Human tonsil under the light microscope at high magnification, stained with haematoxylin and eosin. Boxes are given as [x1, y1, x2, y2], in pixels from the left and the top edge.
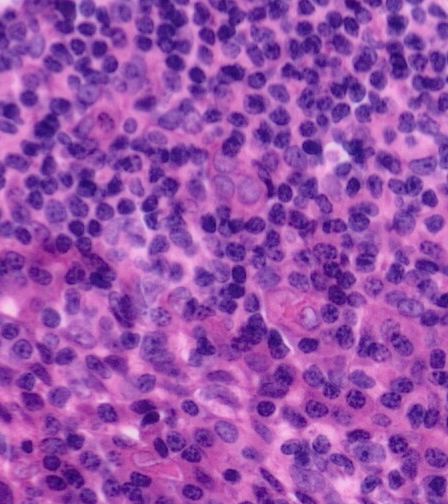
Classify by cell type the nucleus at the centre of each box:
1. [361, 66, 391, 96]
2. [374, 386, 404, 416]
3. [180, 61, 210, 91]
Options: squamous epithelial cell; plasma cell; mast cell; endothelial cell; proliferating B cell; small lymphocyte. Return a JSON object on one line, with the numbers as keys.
{"1": "small lymphocyte", "2": "plasma cell", "3": "small lymphocyte"}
